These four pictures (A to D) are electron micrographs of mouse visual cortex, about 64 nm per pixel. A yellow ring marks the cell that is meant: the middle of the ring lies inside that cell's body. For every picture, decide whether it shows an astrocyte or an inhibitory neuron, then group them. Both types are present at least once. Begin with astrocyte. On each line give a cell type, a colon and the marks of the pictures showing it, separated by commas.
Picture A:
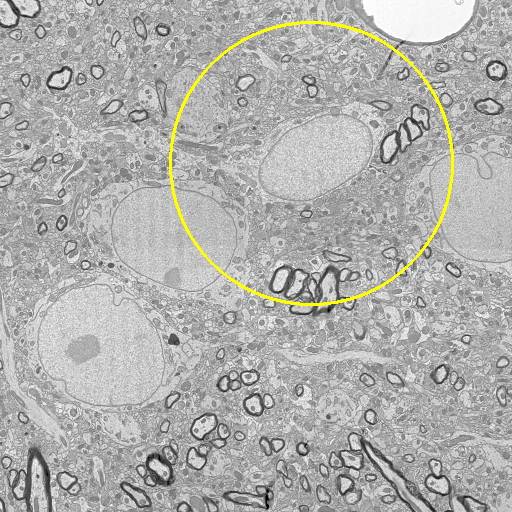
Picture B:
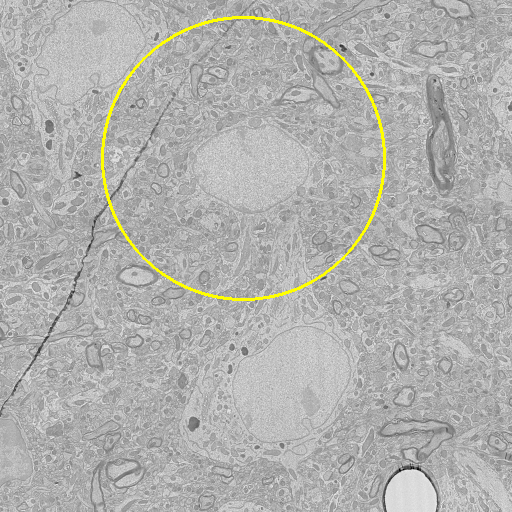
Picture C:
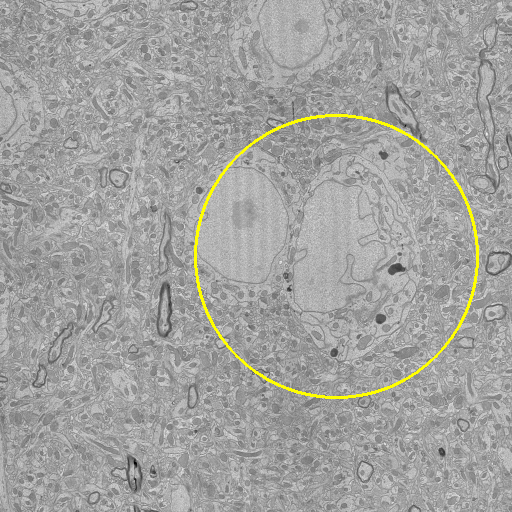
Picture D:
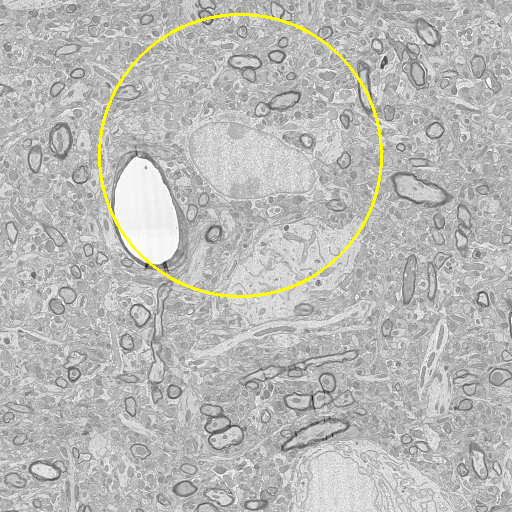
astrocyte: A, B, D
inhibitory neuron: C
